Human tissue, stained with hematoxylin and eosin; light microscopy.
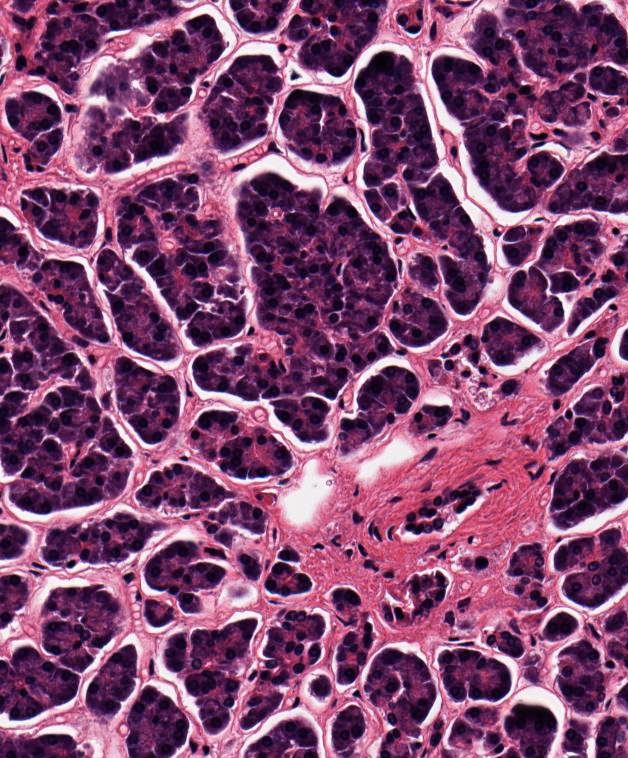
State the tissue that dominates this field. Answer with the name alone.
exocrine pancreas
